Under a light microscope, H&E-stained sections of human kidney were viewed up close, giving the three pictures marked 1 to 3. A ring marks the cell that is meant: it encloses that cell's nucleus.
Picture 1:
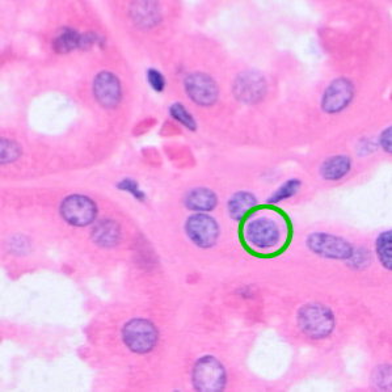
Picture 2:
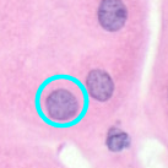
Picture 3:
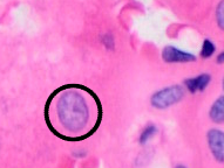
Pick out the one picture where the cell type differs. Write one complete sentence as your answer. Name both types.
Picture 1 is the odd one out: it shows a collecting duct cell, while the others show proximal tubule cells.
